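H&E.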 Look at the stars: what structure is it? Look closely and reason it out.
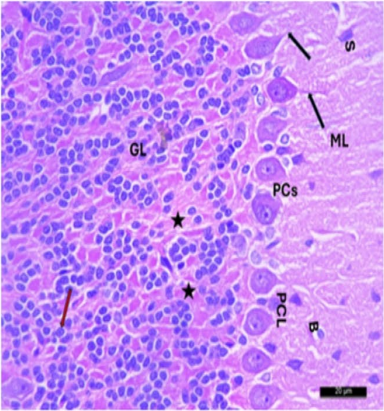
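Cerebellar islands. The stars sit on small pink cell-free patches among densely packed small round blue nuclei.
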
